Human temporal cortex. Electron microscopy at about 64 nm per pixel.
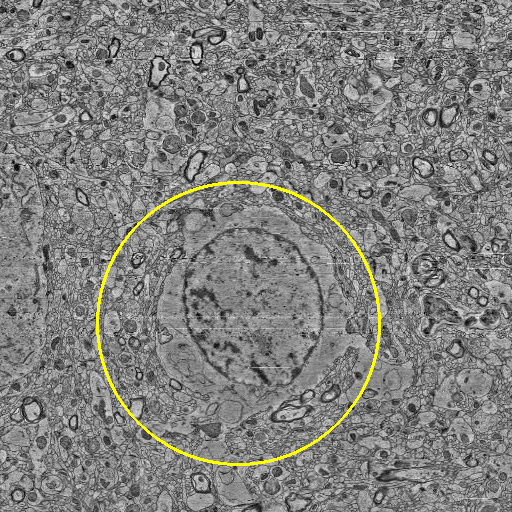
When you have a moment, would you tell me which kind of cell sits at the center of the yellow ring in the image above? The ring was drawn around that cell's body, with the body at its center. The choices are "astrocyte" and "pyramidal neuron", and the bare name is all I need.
astrocyte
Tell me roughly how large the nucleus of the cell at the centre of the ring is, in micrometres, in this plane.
The nucleus comes to roughly 11 by 9 micrometres in this plane.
